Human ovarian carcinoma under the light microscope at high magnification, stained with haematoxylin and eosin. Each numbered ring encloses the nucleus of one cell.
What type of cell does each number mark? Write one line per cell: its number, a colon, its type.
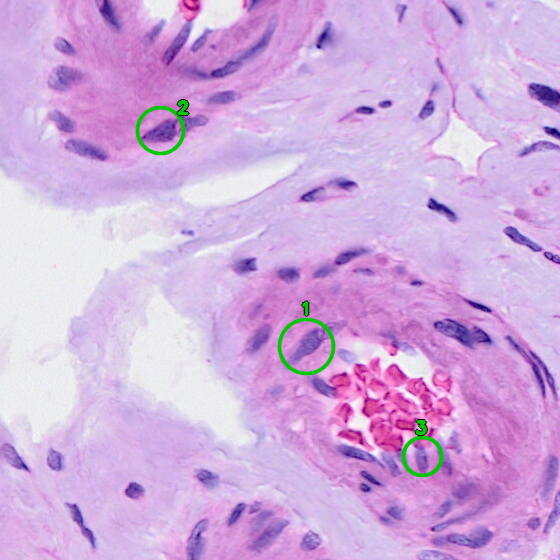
1: smooth muscle cell
2: smooth muscle cell
3: endothelial cell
